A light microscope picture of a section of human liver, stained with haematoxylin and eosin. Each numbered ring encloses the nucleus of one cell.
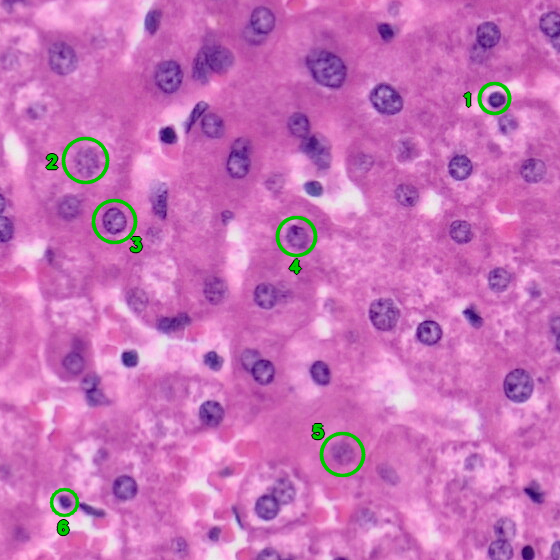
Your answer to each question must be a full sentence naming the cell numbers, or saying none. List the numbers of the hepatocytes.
In this section, the cells labelled 2, 3, 4 and 5 are hepatocytes.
